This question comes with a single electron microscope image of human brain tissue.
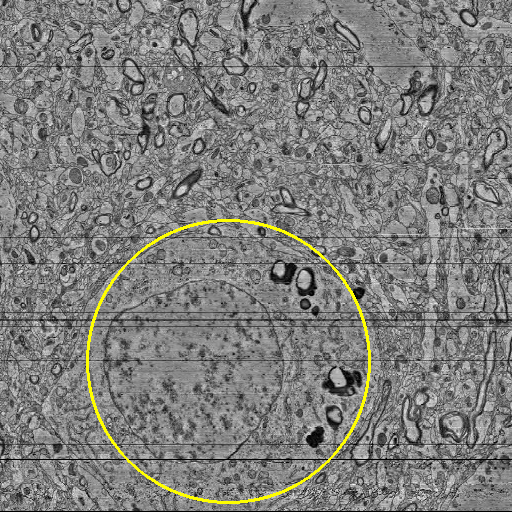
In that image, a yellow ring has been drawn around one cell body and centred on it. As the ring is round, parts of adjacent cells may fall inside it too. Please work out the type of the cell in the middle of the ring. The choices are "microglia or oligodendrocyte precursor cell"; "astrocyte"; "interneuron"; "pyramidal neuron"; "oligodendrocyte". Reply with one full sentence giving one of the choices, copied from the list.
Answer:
Of the choices, a pyramidal neuron is the cell sitting in the middle of the ring.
